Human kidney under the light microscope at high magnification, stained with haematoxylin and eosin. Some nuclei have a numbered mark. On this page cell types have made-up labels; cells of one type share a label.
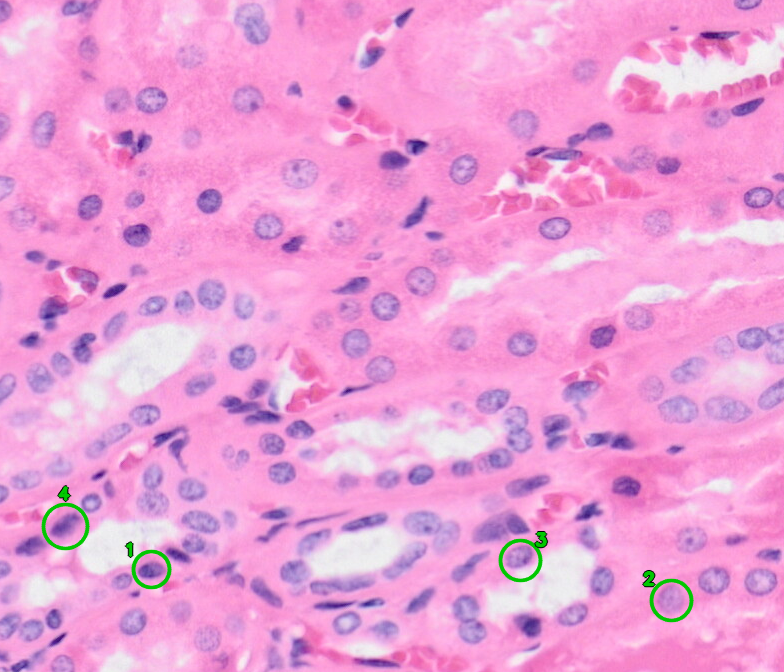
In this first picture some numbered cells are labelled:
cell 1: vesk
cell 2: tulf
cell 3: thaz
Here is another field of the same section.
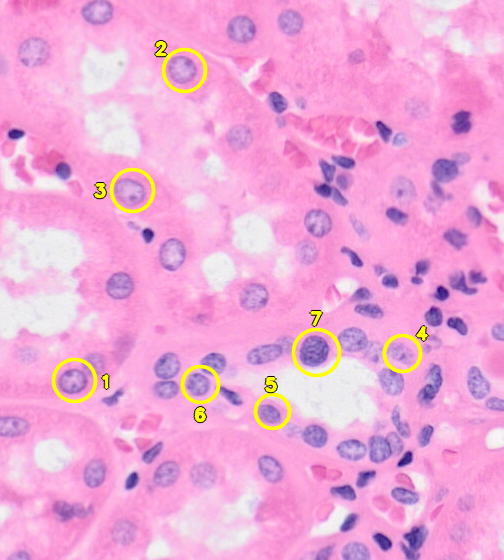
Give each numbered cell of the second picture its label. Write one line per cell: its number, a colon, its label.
1: tulf
2: tulf
3: tulf
4: vesk
5: vesk
6: vesk
7: vesk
